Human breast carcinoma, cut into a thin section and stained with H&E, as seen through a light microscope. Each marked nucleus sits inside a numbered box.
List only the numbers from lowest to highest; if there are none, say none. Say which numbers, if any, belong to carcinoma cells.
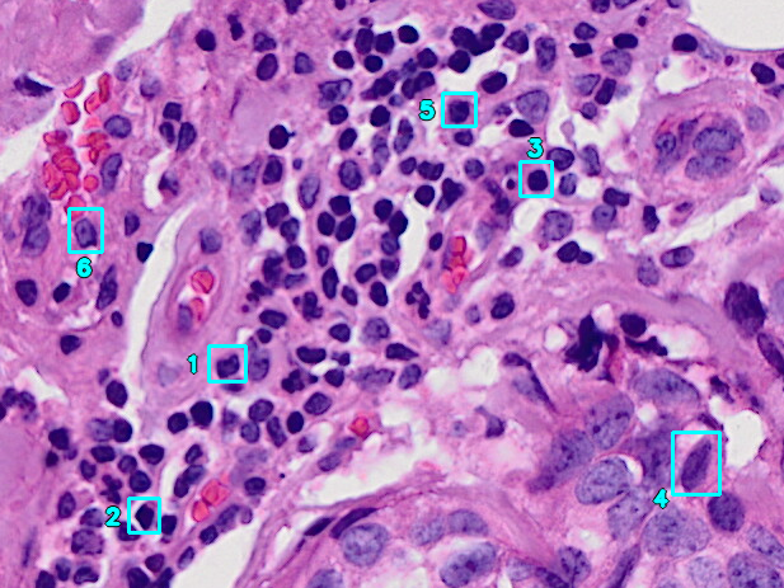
4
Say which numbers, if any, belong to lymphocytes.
1, 2, 3, 5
